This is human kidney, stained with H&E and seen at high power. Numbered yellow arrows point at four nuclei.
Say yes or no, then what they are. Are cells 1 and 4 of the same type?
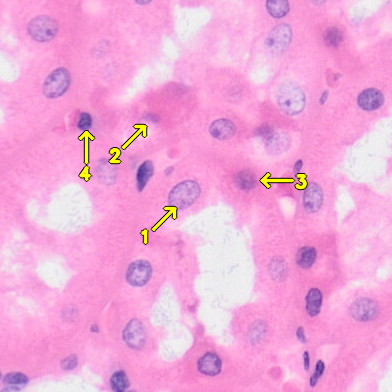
No, the right answer is a proximal tubule cell for cell 1 and an endothelial cell for cell 4.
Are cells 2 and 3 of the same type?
Yes, both cell 2 and cell 3 count among the proximal tubule cells.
